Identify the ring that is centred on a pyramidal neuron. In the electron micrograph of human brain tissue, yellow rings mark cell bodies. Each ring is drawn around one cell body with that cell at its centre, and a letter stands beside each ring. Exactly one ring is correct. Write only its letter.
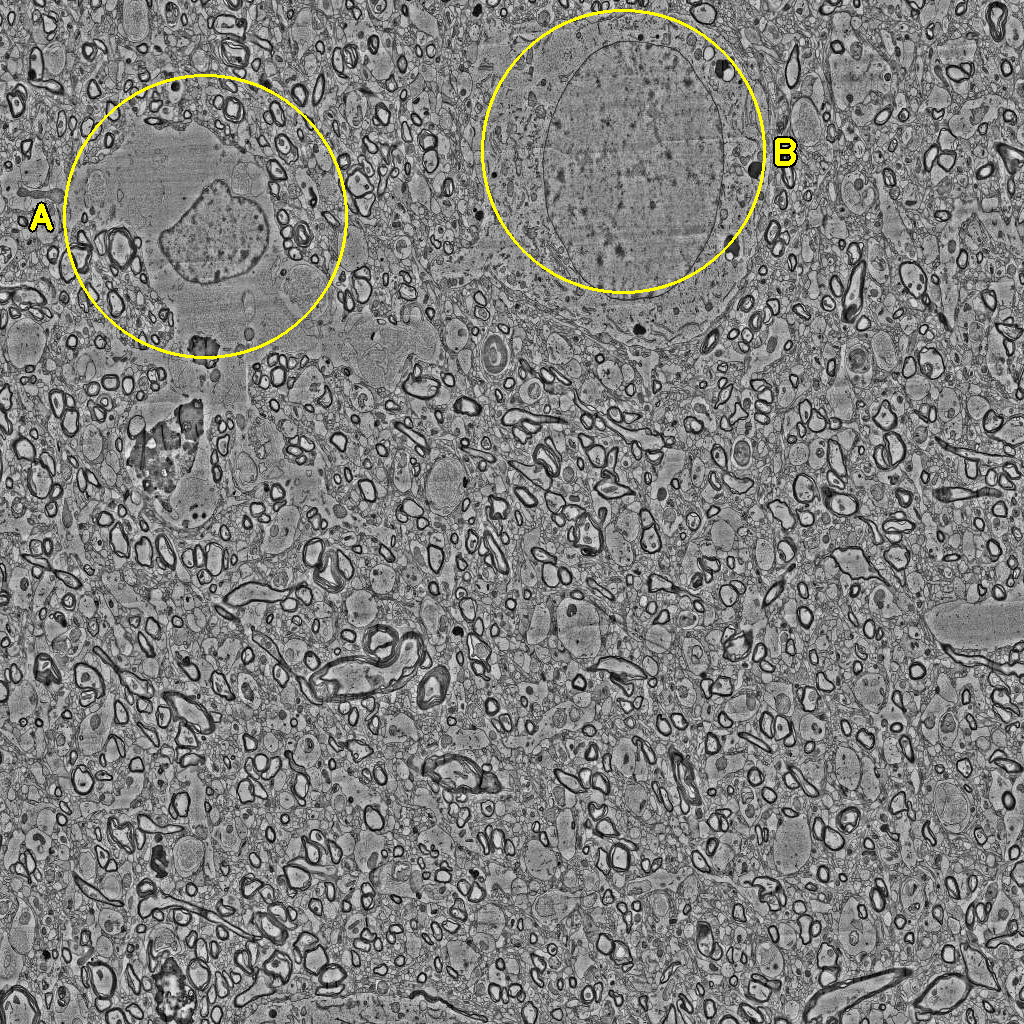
B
